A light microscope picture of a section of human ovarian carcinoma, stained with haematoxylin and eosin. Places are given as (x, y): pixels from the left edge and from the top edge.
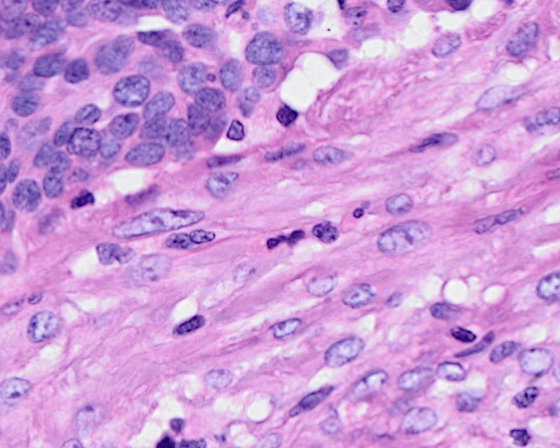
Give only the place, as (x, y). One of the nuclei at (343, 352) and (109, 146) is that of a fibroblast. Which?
(343, 352)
